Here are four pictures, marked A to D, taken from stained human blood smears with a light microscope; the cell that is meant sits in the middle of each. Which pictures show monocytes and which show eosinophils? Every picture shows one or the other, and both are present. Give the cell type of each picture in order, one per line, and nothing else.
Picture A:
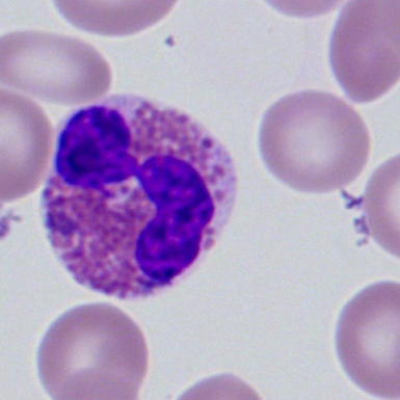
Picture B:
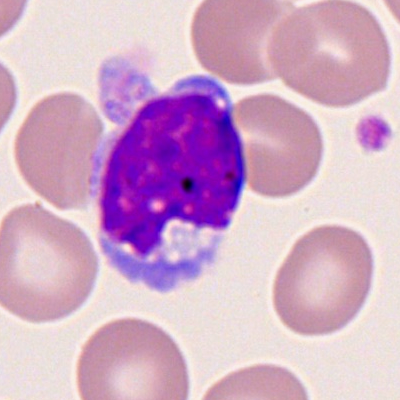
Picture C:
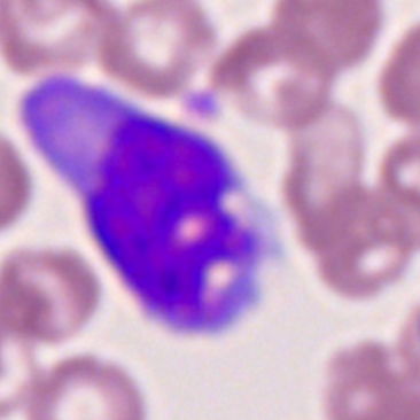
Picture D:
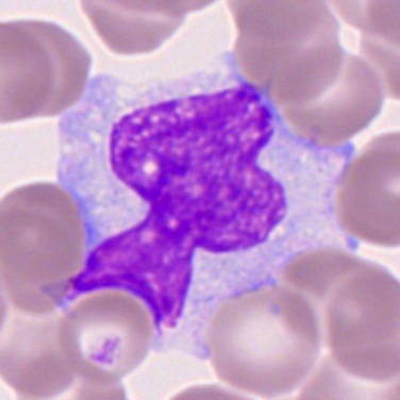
eosinophil
monocyte
monocyte
monocyte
